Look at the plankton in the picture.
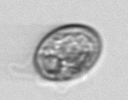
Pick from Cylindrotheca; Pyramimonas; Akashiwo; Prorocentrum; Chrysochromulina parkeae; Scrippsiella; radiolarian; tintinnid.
Prorocentrum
